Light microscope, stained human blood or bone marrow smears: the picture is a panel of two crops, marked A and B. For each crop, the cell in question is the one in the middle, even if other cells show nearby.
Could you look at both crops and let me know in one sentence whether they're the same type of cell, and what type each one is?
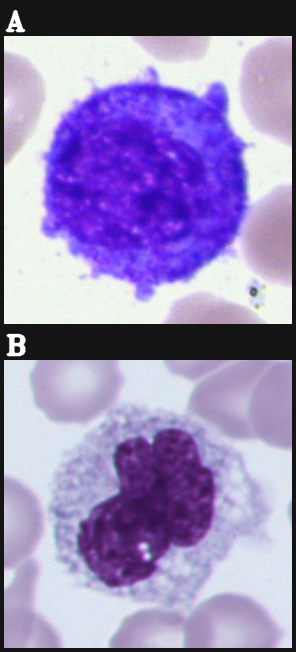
No, crop A is of a promyelocyte, and crop B is of a monocyte.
